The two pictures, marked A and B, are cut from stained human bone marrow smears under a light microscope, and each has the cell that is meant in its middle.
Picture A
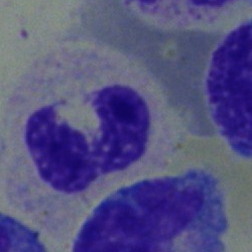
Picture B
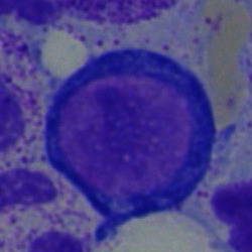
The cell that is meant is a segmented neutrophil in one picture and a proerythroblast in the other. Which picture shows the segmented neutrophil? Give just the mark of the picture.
A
